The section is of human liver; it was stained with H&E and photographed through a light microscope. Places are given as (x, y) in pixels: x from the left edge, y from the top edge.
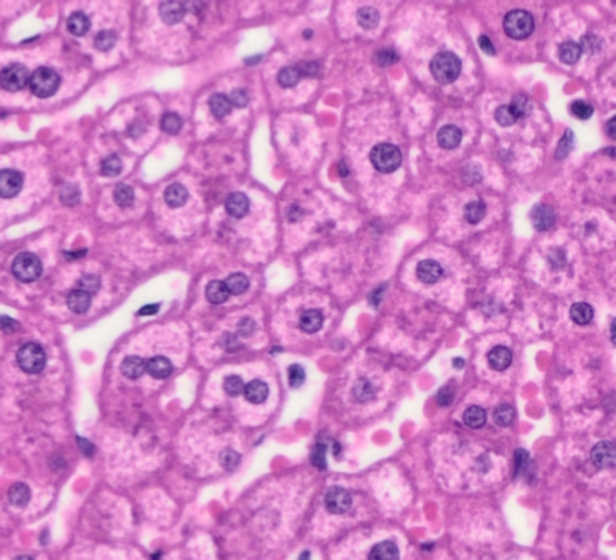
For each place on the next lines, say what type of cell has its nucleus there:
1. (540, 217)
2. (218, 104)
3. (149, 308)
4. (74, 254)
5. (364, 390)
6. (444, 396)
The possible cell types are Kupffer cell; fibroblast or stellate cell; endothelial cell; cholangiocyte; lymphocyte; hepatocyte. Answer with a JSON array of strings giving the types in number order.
["endothelial cell", "hepatocyte", "lymphocyte", "endothelial cell", "hepatocyte", "Kupffer cell"]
